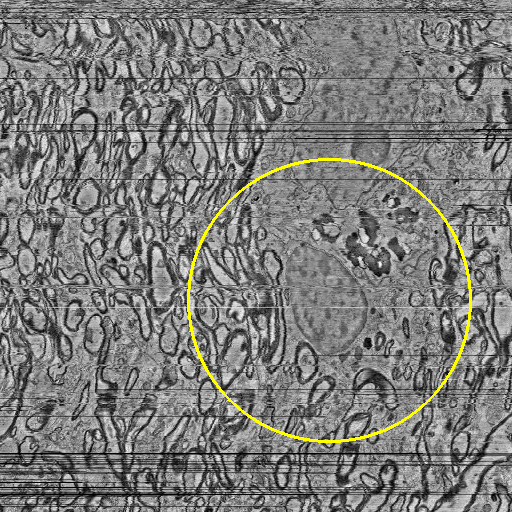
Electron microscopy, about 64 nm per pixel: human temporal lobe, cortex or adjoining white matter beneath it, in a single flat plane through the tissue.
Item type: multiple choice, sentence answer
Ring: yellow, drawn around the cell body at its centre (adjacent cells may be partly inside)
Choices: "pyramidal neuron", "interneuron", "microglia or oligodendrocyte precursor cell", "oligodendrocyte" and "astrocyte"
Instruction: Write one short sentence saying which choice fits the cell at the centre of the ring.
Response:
This ring is drawn around an oligodendrocyte.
